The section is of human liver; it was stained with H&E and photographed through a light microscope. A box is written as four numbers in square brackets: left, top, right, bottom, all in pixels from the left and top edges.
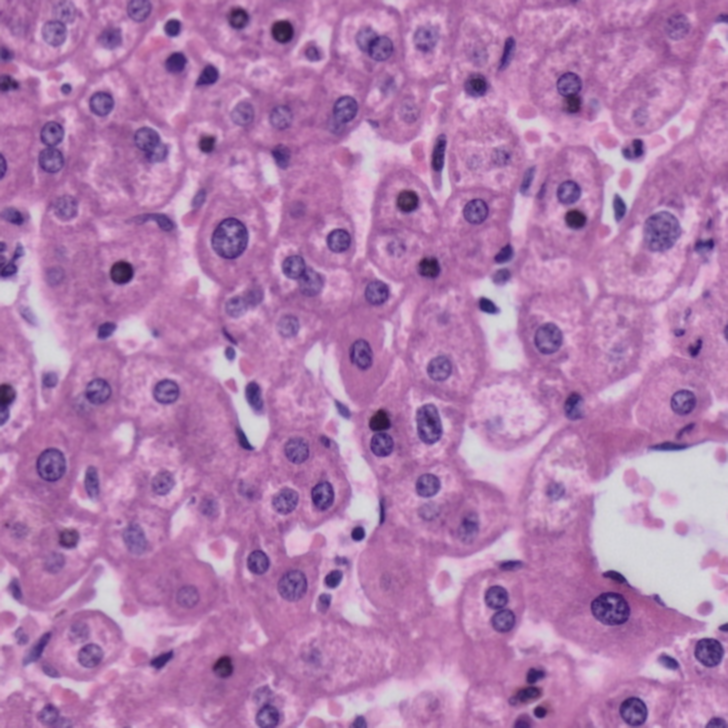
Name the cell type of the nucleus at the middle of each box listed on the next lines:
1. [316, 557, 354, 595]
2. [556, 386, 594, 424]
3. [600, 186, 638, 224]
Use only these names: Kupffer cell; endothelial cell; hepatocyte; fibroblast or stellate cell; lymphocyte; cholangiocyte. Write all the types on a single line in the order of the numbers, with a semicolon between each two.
lymphocyte; fibroblast or stellate cell; lymphocyte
